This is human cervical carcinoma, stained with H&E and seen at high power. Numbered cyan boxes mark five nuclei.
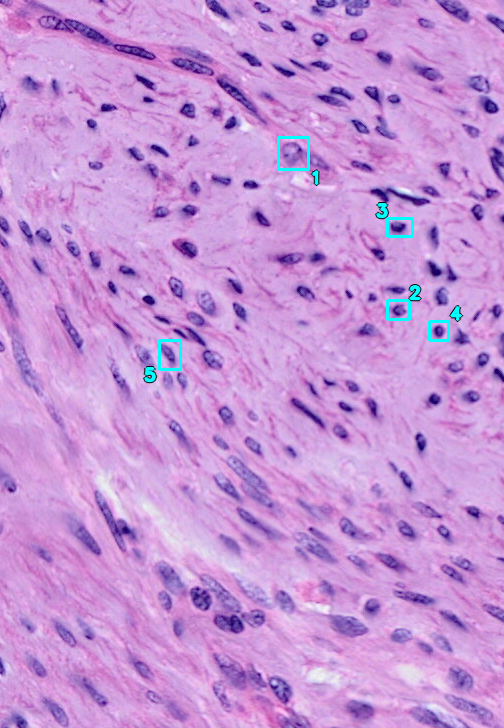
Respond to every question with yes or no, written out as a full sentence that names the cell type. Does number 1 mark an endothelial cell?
Yes, the cell that bears number 1 is an endothelial cell.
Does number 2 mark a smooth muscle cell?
Yes, the marked cell numbered 2 is a smooth muscle cell.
